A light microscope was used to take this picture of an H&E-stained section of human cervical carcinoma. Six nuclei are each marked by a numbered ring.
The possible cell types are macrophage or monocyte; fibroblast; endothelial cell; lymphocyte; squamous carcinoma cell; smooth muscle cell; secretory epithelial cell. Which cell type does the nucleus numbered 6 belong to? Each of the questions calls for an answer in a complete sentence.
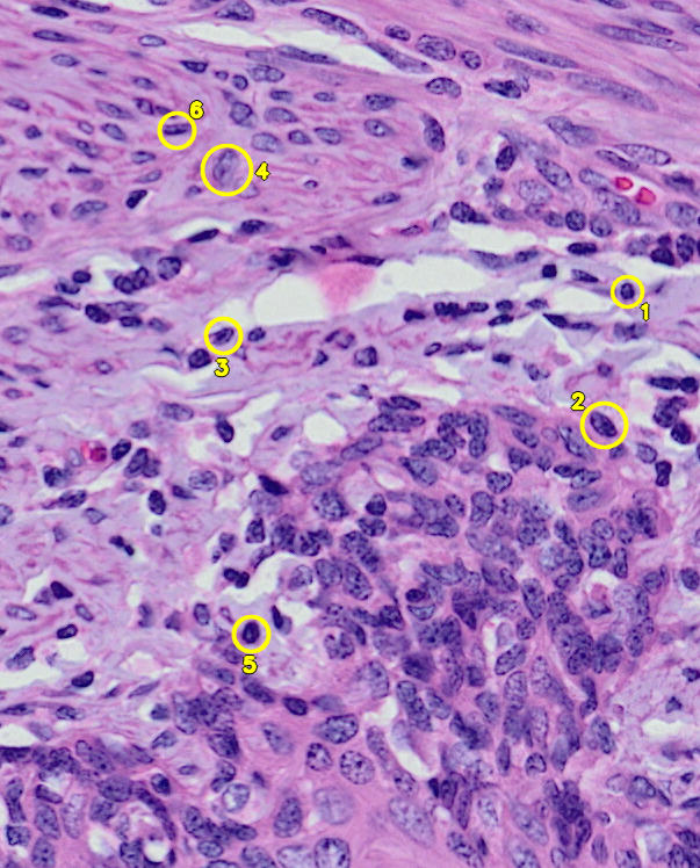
The marked nucleus 6 is that of a smooth muscle cell.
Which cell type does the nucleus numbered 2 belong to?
The cell to which the number 2 is assigned is a lymphocyte.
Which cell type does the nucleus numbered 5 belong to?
The cell numbered 5 represents a lymphocyte.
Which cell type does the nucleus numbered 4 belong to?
In this section, the cell tagged 4 is a smooth muscle cell.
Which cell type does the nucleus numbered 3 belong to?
Cell 3 in the field is a lymphocyte.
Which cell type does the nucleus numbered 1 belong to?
The one numbered 1 among the marked cells is a lymphocyte.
